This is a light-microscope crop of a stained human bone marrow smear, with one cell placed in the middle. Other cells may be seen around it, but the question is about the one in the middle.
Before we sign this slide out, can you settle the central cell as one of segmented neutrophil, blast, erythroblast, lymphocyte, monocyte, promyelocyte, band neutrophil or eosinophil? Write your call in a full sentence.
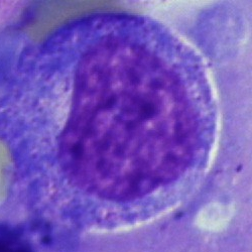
The middle cell in this particular crop is a promyelocyte.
